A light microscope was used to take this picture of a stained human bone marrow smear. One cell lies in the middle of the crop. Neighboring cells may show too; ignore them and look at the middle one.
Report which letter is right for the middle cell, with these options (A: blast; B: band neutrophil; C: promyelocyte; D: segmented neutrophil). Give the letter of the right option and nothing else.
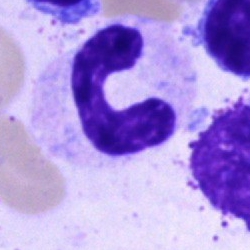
B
